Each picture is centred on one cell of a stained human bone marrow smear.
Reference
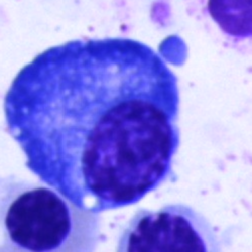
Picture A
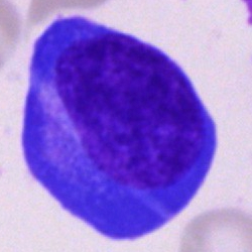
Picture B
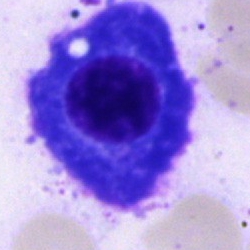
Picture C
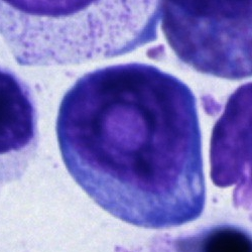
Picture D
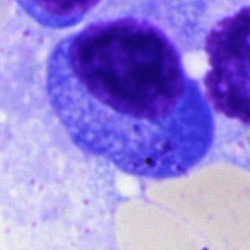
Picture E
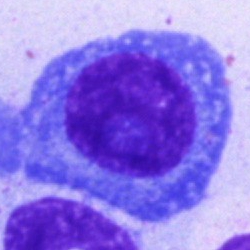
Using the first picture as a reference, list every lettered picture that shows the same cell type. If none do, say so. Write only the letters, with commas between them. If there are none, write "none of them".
A, B, D, E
